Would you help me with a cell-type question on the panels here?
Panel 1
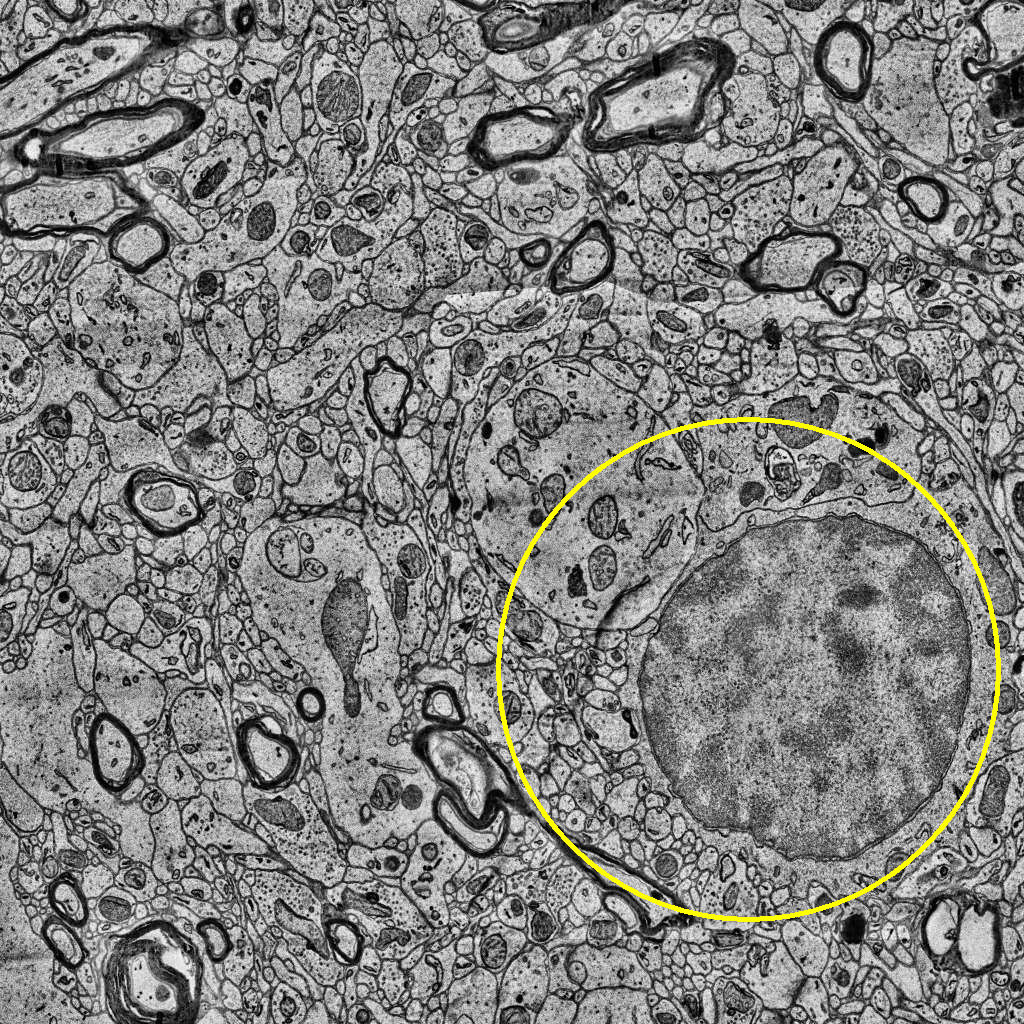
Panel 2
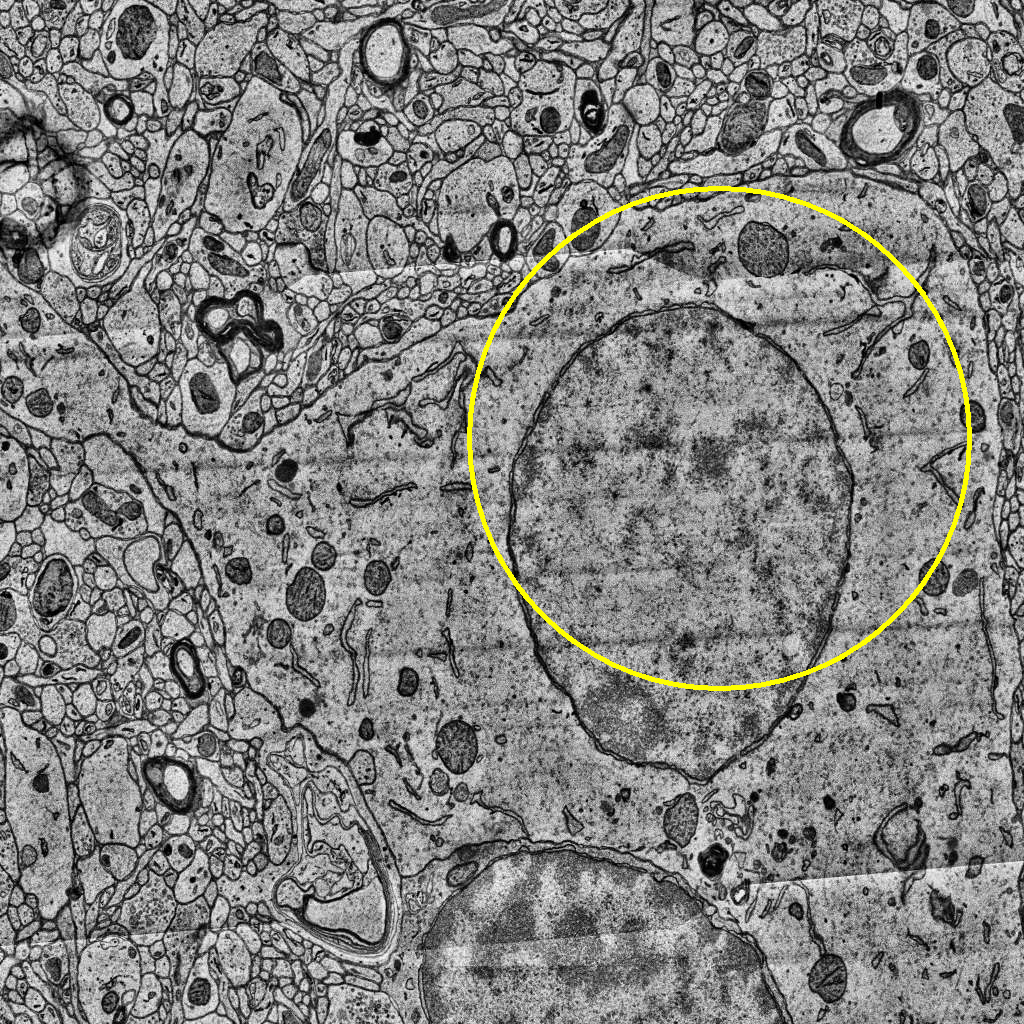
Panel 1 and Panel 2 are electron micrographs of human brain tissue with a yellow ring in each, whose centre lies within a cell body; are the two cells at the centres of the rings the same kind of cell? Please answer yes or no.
no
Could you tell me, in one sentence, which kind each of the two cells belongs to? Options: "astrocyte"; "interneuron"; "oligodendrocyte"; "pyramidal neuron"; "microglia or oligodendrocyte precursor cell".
The cell in the second picture is a pyramidal neuron, and that in the first is an oligodendrocyte.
